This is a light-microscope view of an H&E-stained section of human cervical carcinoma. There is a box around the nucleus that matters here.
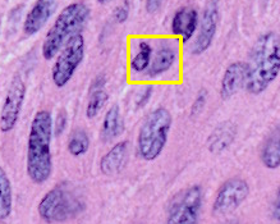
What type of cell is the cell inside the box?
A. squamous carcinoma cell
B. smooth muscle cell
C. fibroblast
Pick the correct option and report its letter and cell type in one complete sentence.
Here the correct option is A, since the cell inside the box is a squamous carcinoma cell.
